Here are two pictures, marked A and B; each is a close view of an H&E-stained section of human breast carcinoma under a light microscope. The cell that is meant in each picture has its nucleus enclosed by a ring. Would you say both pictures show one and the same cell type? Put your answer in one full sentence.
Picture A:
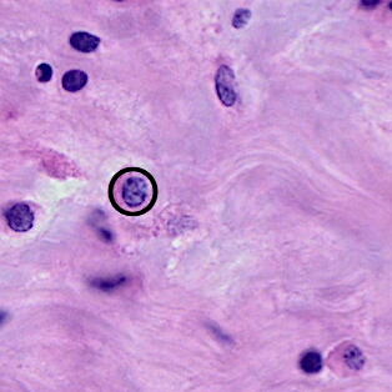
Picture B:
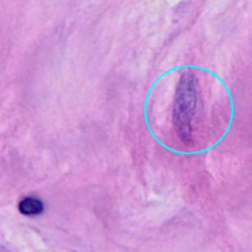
No, the types are not the same, since picture A shows a mast cell and picture B a fibroblast.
